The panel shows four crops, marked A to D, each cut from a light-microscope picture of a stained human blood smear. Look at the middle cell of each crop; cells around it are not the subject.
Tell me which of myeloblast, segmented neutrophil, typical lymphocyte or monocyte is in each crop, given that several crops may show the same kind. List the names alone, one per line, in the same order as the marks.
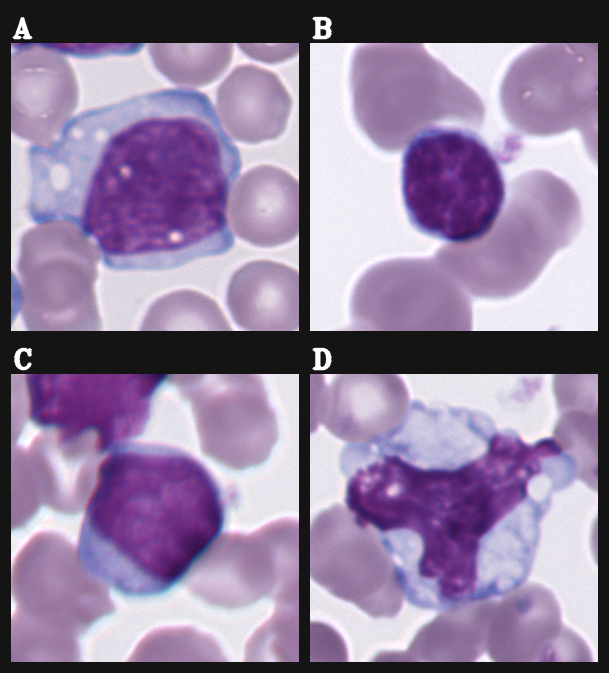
myeloblast
typical lymphocyte
typical lymphocyte
monocyte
